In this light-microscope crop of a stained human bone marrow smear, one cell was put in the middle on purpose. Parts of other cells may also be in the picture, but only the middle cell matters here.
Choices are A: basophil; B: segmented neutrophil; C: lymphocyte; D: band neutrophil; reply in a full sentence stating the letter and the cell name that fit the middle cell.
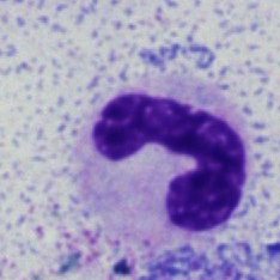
Option D is to be chosen, as the central cell is a band neutrophil.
